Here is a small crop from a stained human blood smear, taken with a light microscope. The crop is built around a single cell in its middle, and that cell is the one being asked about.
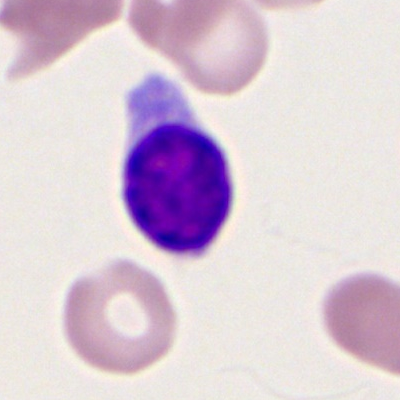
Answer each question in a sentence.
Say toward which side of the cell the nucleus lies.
Toward the bottom of the cell lies its nucleus.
